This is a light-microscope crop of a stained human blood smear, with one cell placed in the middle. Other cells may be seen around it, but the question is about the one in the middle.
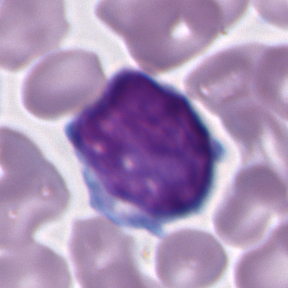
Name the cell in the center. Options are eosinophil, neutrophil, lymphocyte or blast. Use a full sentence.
The cell centred in this crop is categorized as a blast.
